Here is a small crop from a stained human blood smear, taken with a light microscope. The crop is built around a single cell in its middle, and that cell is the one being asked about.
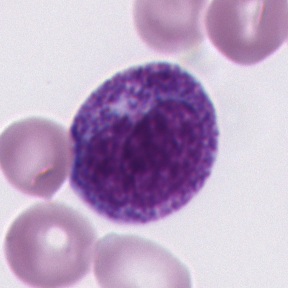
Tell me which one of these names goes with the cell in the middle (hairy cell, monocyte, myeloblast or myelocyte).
myelocyte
